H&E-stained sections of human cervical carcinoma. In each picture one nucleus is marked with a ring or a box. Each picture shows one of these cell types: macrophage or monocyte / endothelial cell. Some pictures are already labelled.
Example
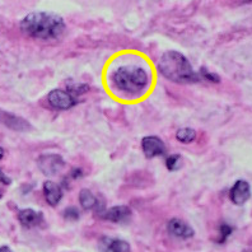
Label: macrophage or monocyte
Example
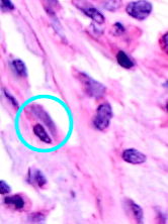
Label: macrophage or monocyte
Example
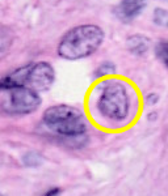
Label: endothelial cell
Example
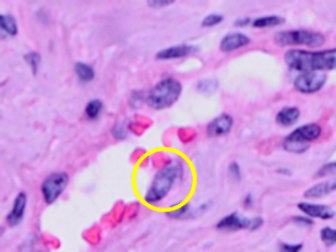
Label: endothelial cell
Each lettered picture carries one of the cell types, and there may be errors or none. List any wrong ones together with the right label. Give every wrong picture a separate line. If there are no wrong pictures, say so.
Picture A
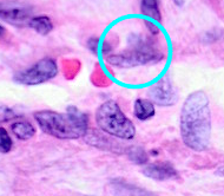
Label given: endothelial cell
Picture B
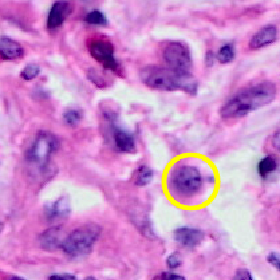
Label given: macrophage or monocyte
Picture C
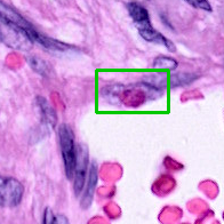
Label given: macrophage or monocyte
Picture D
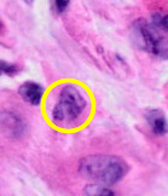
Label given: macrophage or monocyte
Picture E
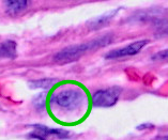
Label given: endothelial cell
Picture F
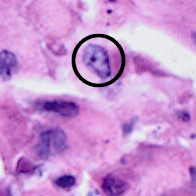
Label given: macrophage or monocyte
C: endothelial cell, not macrophage or monocyte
